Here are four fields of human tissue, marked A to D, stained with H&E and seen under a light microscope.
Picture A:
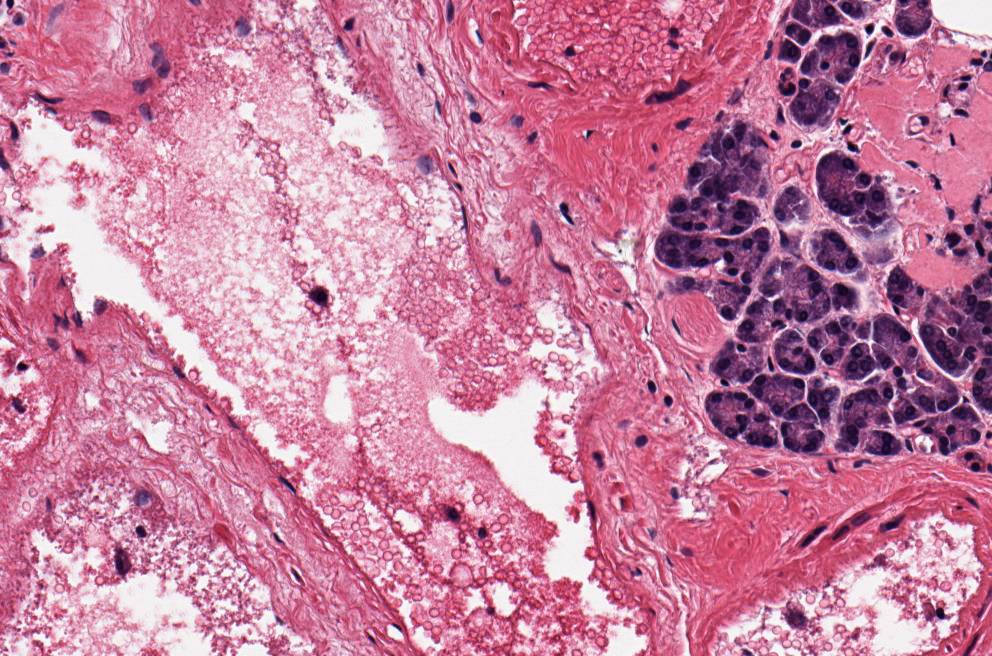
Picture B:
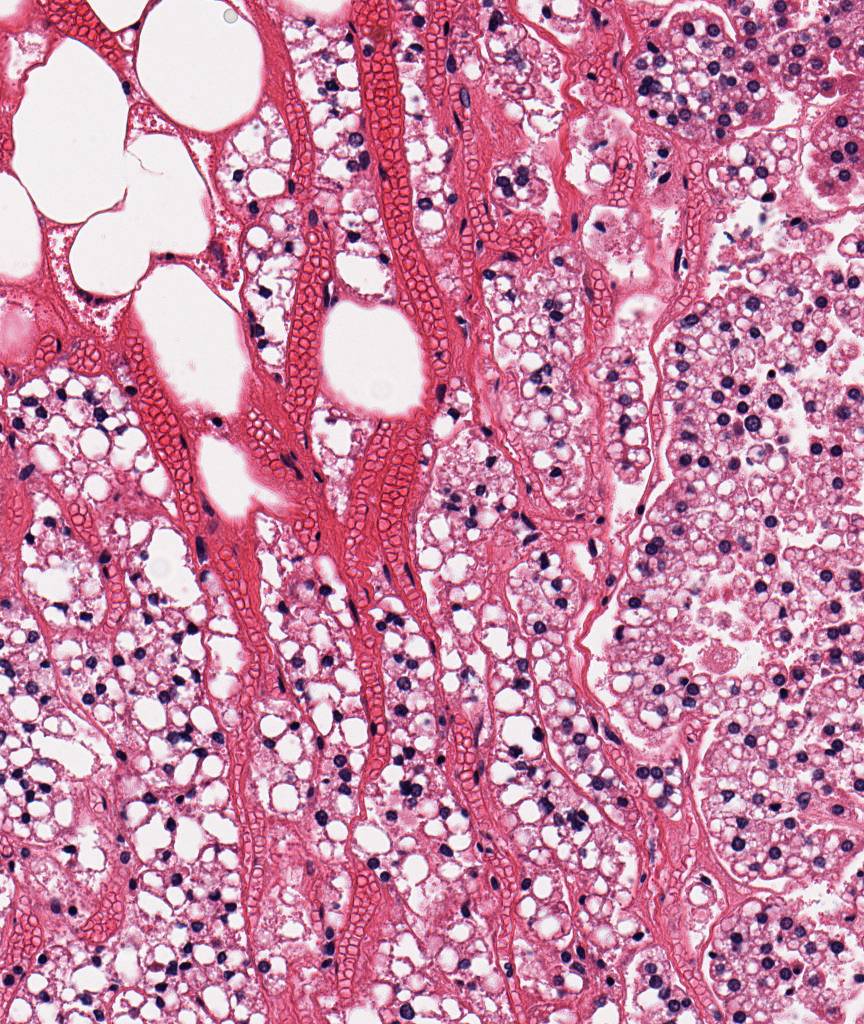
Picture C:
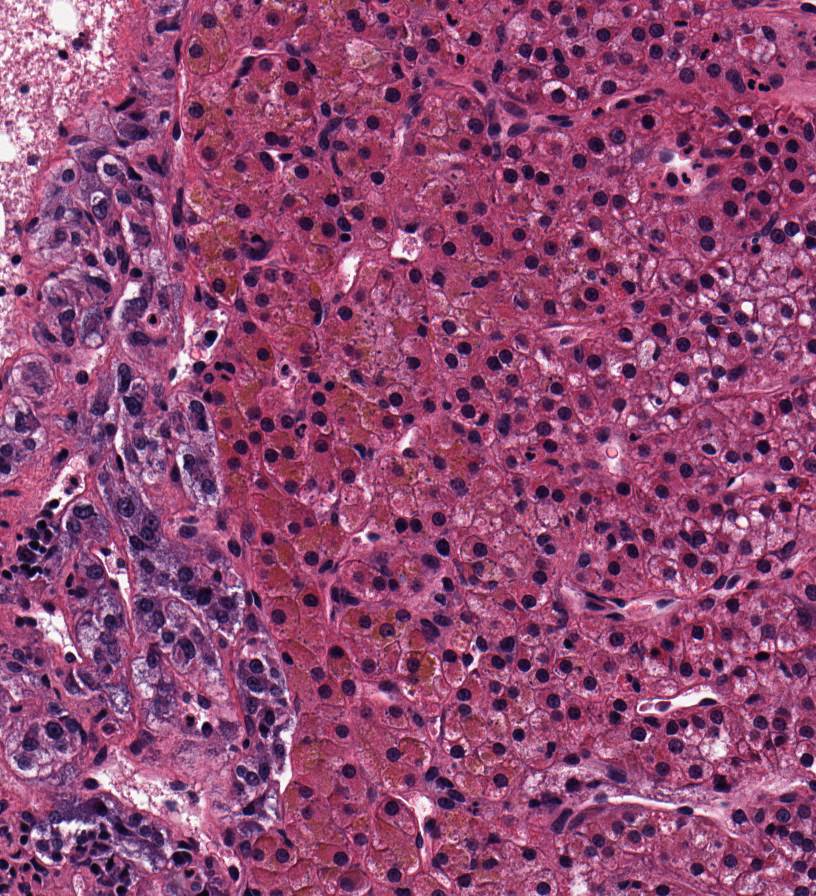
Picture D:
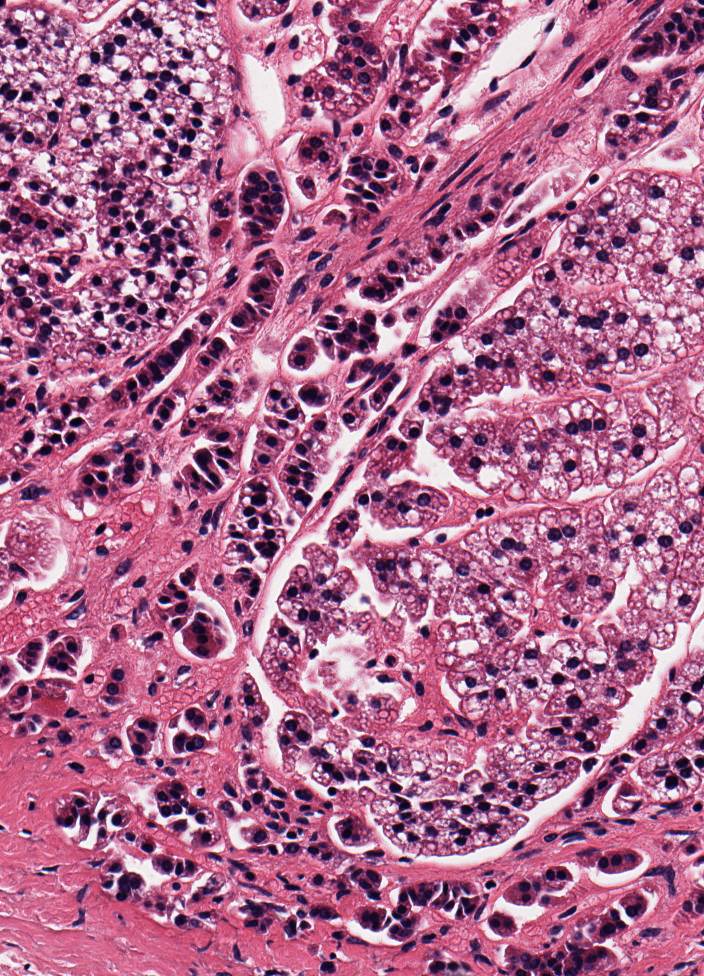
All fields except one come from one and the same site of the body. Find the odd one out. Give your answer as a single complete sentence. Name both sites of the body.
Unlike the rest, which come from the adrenal gland, picture A comes from the pancreas.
